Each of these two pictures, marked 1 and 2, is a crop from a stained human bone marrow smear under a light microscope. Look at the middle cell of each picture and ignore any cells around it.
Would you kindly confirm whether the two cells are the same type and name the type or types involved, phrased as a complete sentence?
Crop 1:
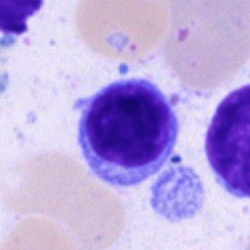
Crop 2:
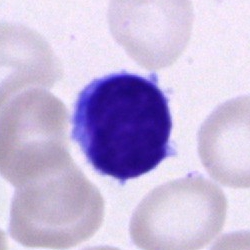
Yes, both of the crops in this pair show lymphocytes, one cell in each crop.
